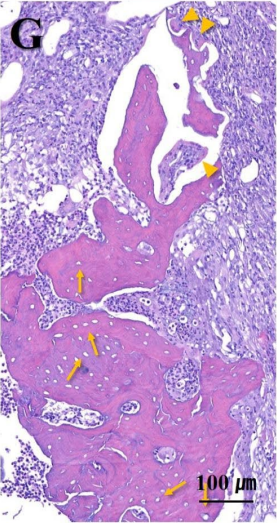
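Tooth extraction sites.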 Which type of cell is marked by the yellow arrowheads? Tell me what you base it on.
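Arrowheads point to cells lying on the bone surface at the edge of clear spaces. The bone edge next to them is irregular. On this evidence: Osteoclast.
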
